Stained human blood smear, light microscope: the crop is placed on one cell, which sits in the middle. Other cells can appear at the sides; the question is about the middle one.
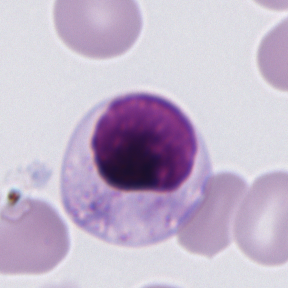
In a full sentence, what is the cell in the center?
The central cell, amid any neighbouring cells, is a large granular lymphocyte.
